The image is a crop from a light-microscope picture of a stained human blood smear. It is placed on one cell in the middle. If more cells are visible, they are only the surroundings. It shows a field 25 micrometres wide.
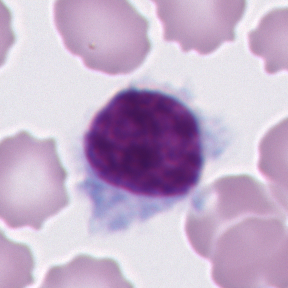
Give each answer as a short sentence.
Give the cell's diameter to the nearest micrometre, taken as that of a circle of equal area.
About 12 micrometres: that is the cell's diameter.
